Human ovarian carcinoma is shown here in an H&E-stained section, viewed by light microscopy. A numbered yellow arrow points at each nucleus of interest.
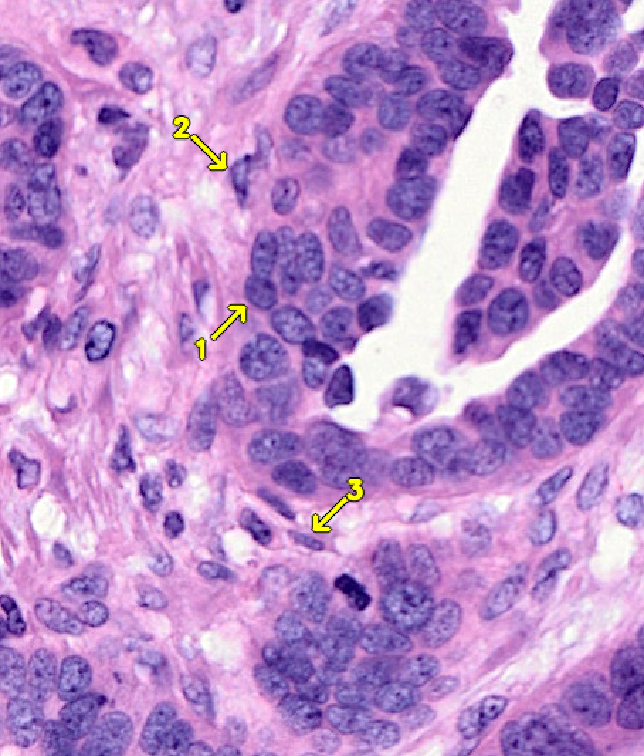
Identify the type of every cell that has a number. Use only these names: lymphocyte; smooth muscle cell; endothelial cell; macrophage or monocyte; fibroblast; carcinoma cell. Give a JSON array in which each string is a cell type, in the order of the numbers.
["carcinoma cell", "fibroblast", "fibroblast"]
